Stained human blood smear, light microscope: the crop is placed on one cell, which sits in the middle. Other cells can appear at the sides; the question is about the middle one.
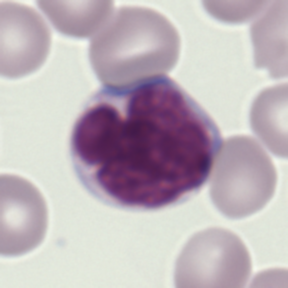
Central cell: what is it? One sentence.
The cell sitting right in the middle is a large granular lymphocyte.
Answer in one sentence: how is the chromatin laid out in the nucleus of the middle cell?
The chromatin is fine; coarse clumps are not a feature here.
